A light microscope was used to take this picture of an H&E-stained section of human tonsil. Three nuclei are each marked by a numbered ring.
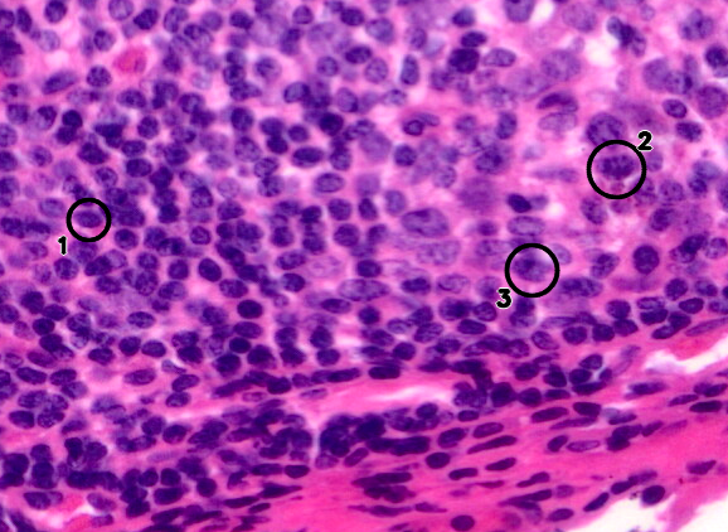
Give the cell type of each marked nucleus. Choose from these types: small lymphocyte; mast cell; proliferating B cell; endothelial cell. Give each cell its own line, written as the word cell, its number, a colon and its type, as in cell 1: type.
cell 1: small lymphocyte
cell 2: proliferating B cell
cell 3: proliferating B cell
